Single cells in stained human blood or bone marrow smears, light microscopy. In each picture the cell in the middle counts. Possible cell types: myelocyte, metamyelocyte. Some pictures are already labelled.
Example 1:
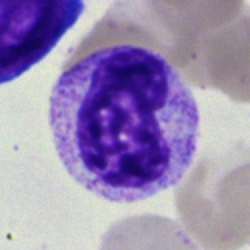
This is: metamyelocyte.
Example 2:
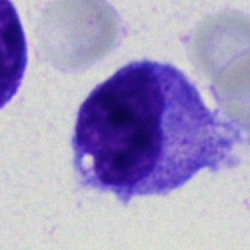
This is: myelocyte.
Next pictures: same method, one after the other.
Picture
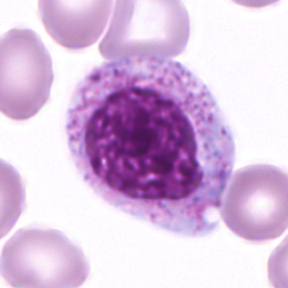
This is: myelocyte.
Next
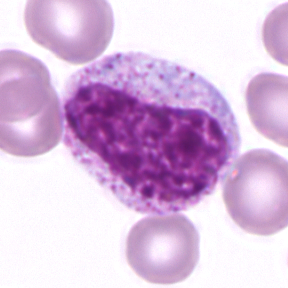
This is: metamyelocyte.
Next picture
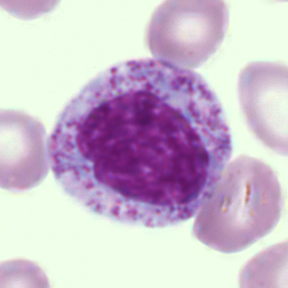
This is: myelocyte.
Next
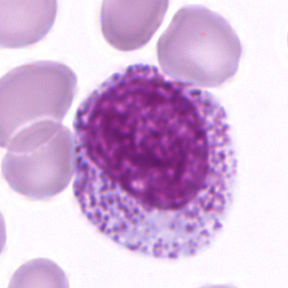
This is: myelocyte.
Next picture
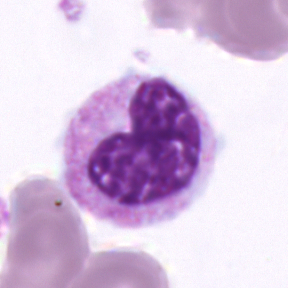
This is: metamyelocyte.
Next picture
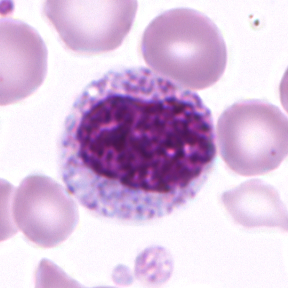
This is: metamyelocyte.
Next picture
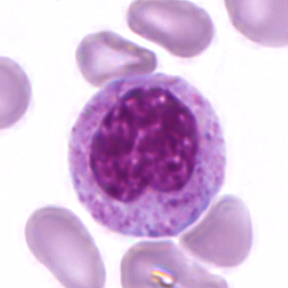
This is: myelocyte.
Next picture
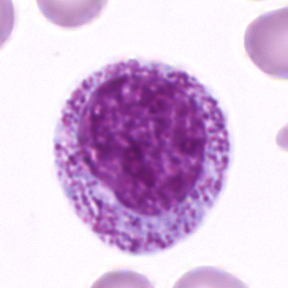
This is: myelocyte.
